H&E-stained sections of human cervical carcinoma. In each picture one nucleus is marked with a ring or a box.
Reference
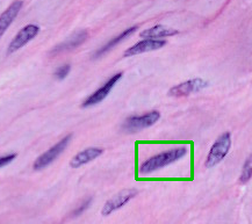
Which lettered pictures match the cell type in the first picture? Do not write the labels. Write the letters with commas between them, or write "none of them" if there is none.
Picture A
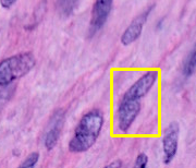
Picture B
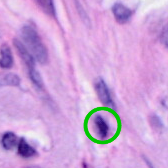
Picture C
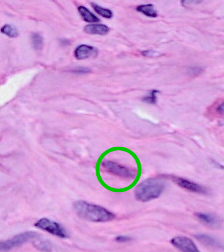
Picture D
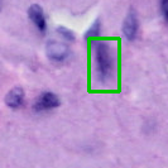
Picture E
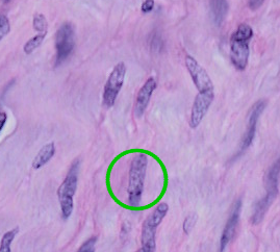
D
